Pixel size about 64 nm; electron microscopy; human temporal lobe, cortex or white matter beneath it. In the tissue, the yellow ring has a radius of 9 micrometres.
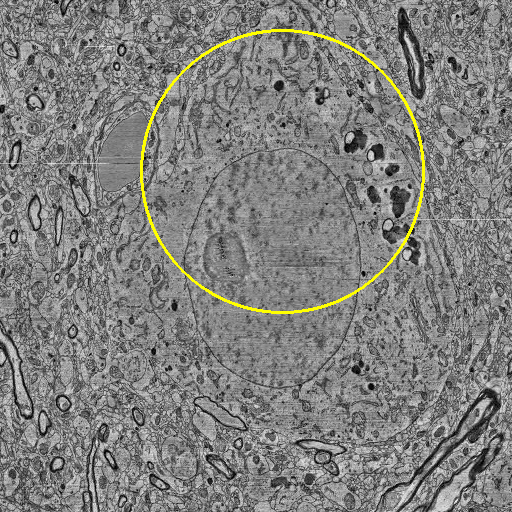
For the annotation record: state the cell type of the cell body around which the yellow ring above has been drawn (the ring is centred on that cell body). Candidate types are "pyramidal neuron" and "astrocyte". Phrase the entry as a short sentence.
The ringed cell is a pyramidal neuron.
